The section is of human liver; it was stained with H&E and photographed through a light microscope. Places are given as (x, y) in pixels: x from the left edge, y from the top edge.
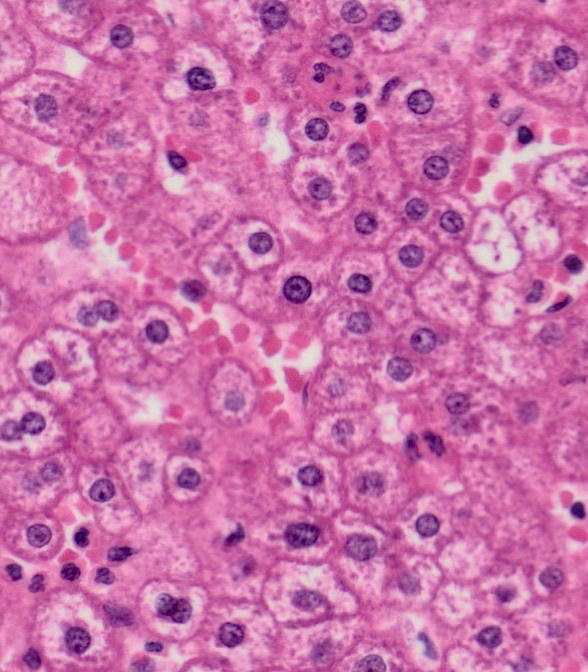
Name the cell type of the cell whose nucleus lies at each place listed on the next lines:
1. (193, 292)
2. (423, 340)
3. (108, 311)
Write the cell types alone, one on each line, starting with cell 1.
endothelial cell
hepatocyte
hepatocyte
